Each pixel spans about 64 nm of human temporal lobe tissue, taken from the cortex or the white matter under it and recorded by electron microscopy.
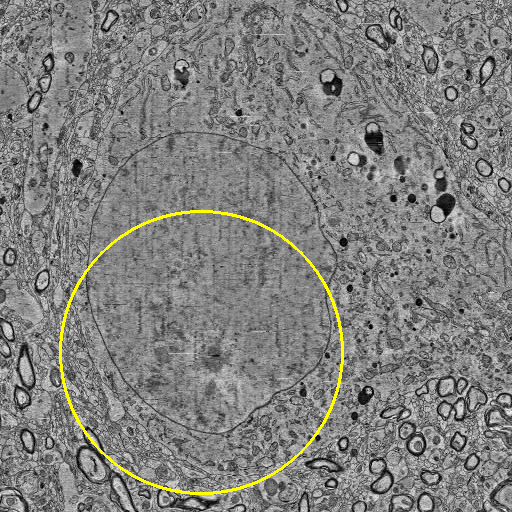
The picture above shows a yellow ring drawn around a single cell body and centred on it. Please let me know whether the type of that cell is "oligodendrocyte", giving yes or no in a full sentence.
No, the cell at the centre of the ring above has a different type.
